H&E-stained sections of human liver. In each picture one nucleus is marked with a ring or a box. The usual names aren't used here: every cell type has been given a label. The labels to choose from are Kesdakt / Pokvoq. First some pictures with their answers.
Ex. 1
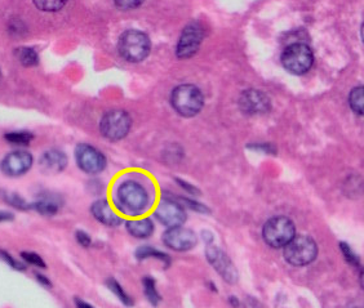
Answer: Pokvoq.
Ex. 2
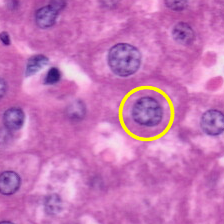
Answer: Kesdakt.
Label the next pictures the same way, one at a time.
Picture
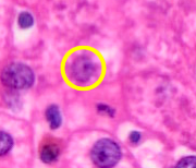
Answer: Kesdakt.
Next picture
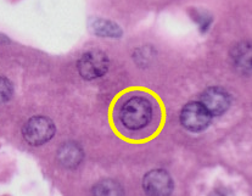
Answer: Kesdakt.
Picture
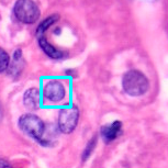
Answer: Pokvoq.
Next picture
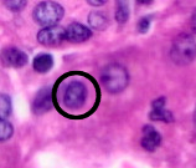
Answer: Pokvoq.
